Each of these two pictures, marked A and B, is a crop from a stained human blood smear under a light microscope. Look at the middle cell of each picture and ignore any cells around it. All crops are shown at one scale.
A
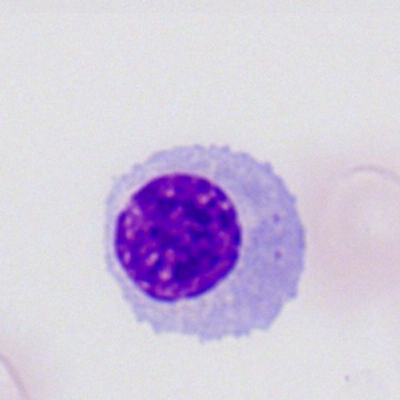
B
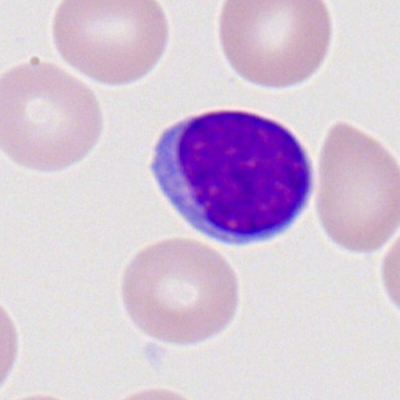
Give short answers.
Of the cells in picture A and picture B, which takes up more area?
A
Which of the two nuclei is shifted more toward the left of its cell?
A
